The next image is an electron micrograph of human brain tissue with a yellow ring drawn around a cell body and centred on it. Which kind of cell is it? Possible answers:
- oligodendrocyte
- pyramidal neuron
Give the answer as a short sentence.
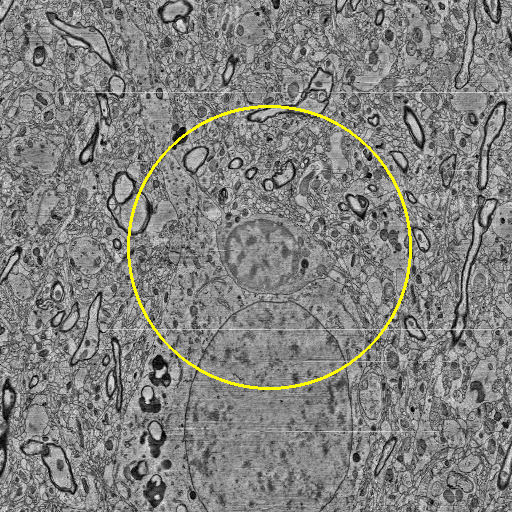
In the ring's centre is an oligodendrocyte.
